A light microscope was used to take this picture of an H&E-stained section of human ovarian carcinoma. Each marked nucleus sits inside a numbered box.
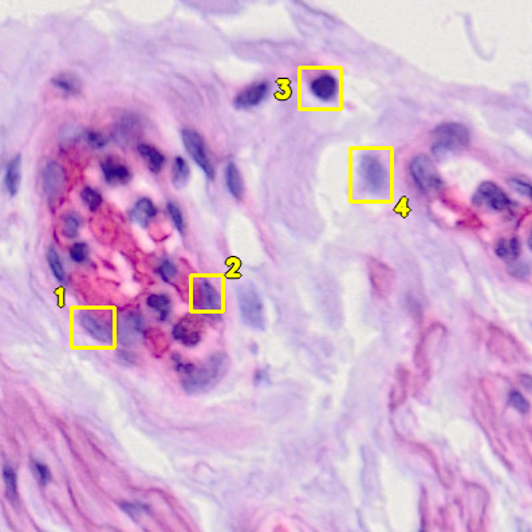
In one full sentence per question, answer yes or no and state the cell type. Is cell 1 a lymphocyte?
No, the cell marked 1 is an endothelial cell rather than a lymphocyte.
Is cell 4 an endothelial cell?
No, the cell that carries number 4 is a fibroblast, not an endothelial cell.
